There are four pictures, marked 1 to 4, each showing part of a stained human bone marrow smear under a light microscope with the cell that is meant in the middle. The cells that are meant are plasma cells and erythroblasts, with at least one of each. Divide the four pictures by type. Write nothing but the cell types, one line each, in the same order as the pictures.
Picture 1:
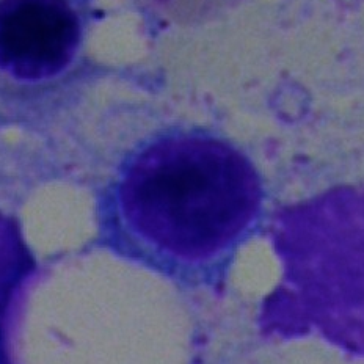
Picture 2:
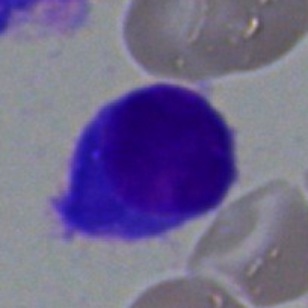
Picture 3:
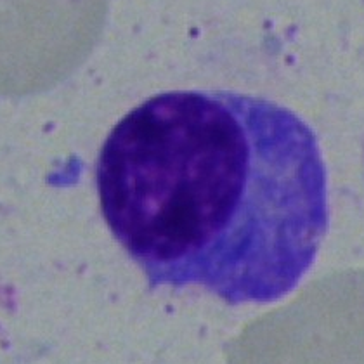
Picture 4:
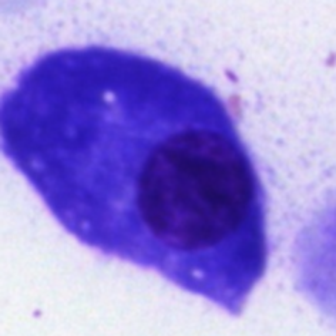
erythroblast
plasma cell
plasma cell
plasma cell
